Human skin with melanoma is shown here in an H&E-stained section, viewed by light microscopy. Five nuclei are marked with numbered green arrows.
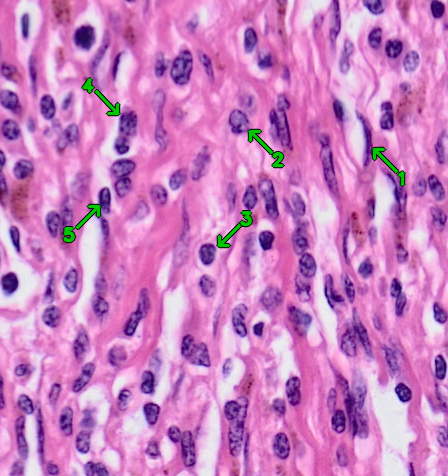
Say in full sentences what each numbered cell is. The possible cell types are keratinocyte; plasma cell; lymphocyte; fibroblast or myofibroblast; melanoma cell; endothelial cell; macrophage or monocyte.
Cell 1 is a fibroblast or myofibroblast, cell 2 is a lymphocyte, cell 3 is a lymphocyte, cell 4 is a plasma cell and cell 5 is a lymphocyte.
